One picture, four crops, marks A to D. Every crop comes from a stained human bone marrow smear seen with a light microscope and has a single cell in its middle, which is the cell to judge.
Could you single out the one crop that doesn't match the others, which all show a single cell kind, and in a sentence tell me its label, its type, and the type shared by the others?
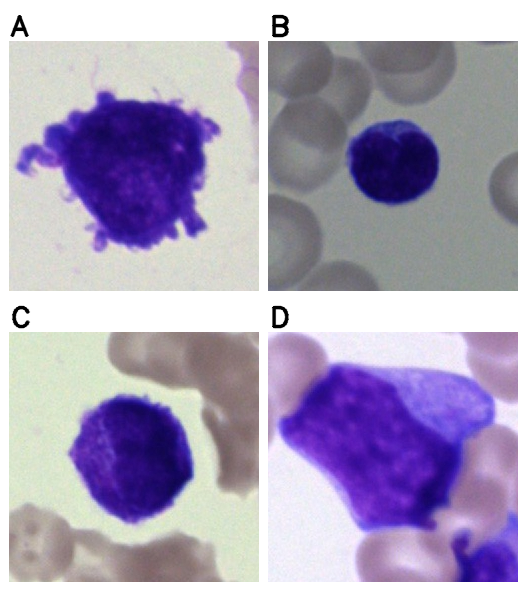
The others are all blasts; crop B is a lymphocyte.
